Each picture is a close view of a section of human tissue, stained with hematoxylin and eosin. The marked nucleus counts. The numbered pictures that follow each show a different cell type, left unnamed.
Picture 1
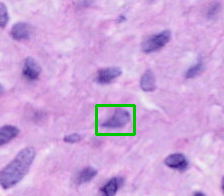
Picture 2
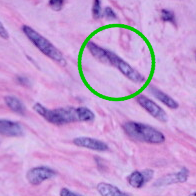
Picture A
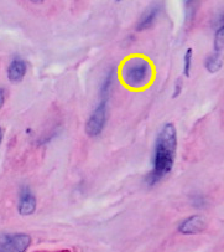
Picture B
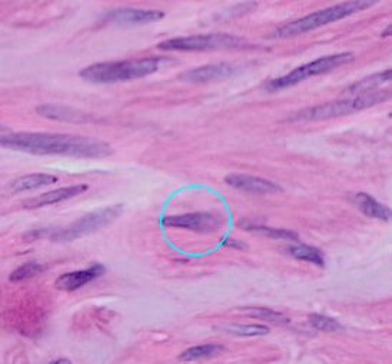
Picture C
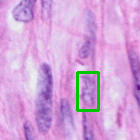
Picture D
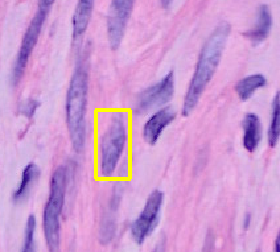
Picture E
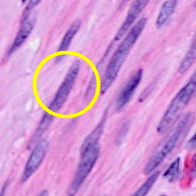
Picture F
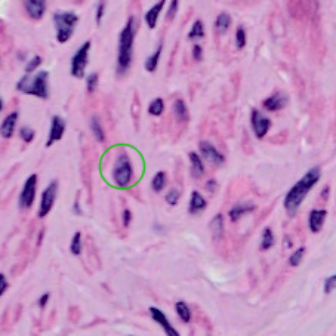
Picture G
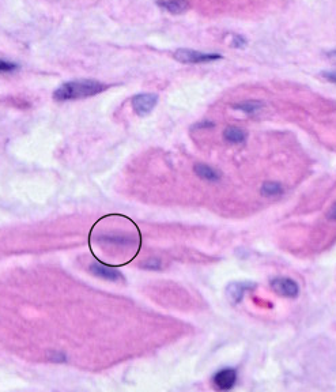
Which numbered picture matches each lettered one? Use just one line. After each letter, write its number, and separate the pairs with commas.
A 2, B 2, C 1, D 2, E 2, F 2, G 2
